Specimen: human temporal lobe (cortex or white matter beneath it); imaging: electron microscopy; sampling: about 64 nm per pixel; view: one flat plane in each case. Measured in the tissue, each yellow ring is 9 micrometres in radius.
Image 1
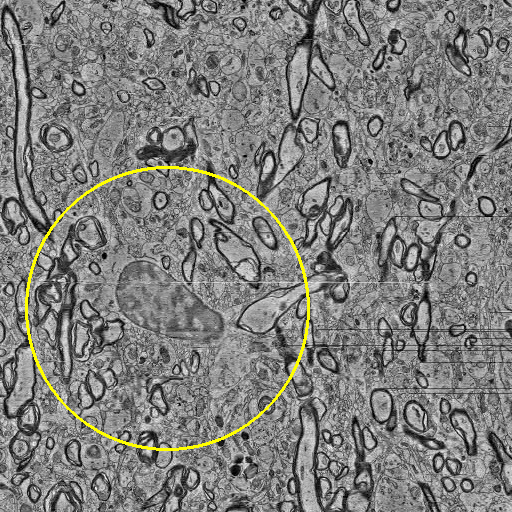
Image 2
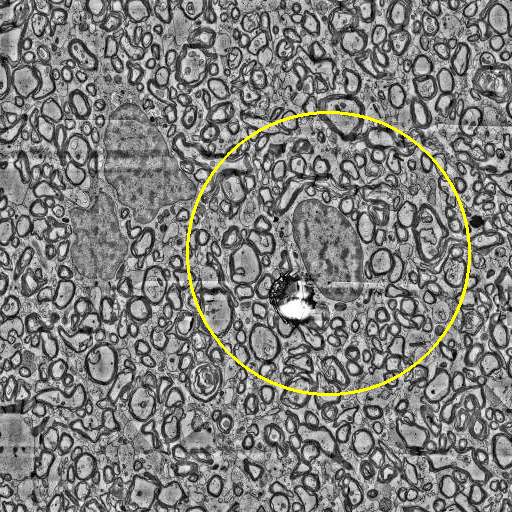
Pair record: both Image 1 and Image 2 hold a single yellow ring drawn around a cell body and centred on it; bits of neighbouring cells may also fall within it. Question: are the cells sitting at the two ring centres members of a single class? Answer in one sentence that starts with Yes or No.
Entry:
Yes, both ring-centre cells in Image 1 and Image 2 are members of one class.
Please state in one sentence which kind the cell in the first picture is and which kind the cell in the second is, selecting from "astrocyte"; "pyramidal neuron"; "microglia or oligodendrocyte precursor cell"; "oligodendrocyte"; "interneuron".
Each cell at the centre of a ring is a microglial cell or oligodendrocyte precursor cell.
